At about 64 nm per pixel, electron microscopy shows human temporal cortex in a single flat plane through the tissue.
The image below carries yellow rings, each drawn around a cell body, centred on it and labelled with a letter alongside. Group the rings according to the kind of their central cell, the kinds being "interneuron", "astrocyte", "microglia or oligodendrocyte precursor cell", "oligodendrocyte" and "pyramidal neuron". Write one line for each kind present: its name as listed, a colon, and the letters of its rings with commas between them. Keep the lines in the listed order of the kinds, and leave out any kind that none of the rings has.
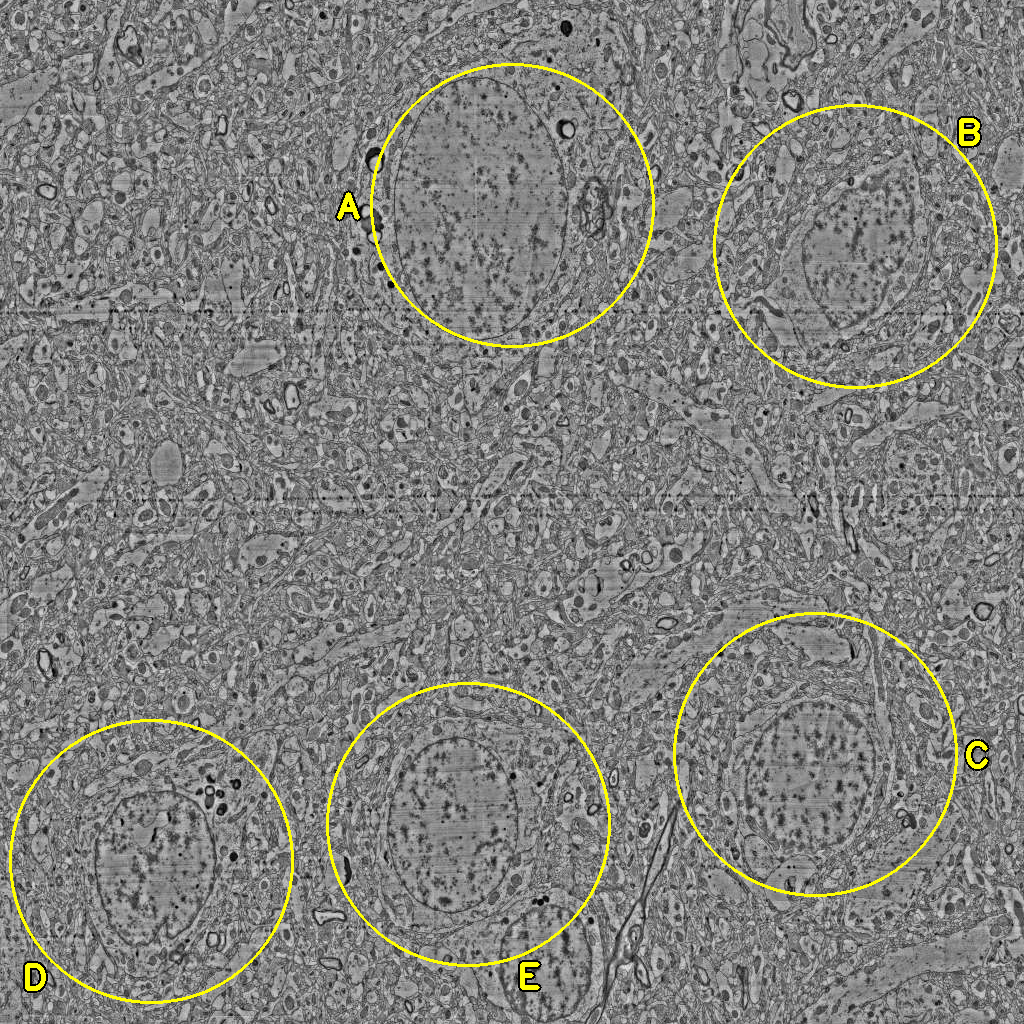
interneuron: B, C
pyramidal neuron: A, D, E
